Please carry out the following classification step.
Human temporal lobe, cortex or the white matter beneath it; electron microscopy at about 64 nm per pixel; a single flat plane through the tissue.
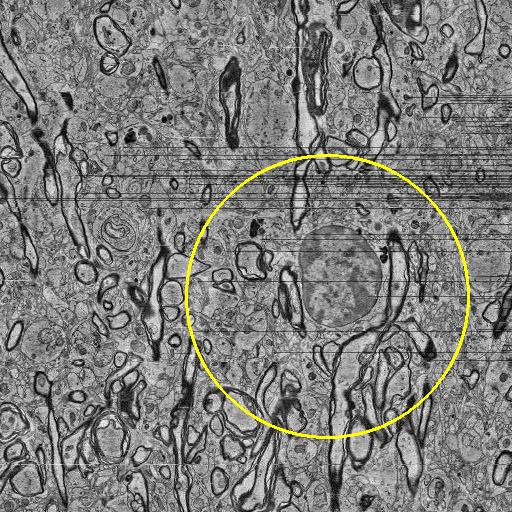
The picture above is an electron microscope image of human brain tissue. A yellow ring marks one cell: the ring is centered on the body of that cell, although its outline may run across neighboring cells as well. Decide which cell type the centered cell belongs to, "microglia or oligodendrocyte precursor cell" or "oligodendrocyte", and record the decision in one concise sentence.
The cell centered in the yellow ring is a microglial cell or oligodendrocyte precursor cell.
